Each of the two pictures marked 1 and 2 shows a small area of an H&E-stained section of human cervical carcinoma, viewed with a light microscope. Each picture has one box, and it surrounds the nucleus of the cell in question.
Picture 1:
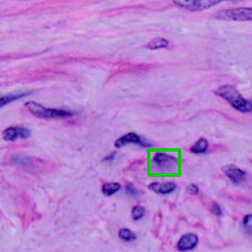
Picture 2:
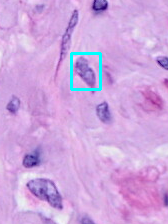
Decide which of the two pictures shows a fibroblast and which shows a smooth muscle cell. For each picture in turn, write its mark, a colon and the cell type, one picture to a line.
1: smooth muscle cell
2: fibroblast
